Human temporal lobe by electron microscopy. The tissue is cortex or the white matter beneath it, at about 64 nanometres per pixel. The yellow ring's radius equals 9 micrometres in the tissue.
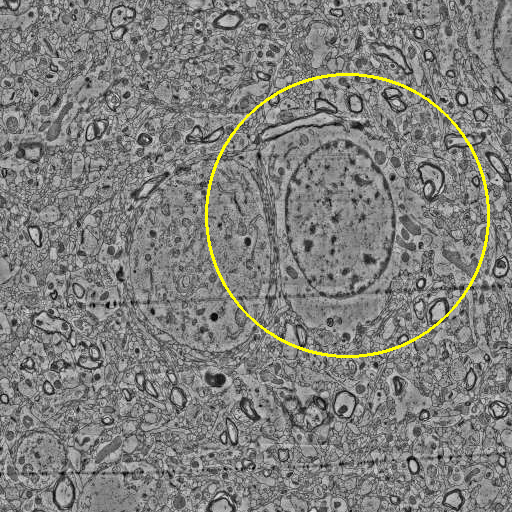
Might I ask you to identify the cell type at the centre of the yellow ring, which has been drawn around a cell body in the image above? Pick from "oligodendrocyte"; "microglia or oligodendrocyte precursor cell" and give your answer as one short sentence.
The centre of the ring falls on a microglial cell or oligodendrocyte precursor cell.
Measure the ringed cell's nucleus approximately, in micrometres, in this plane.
About 10 micrometres by about 7 micrometres in this plane.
